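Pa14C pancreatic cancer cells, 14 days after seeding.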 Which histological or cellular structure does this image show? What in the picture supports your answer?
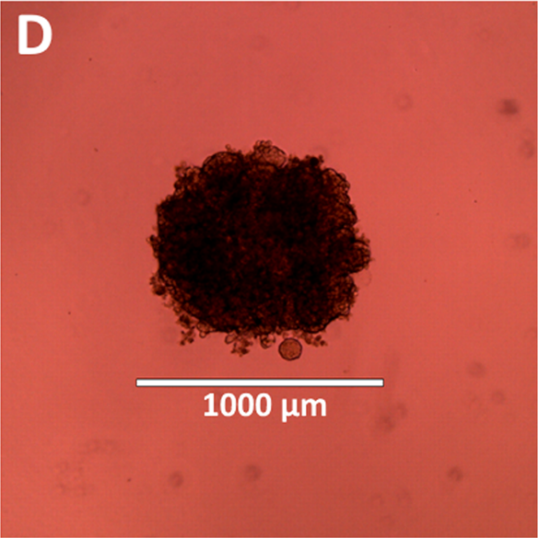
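A single dense, dark, roughly round multicellular mass fills the centre. Its border is lumpy with individual rounded cells bulging out.
Hence: Spheroid.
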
